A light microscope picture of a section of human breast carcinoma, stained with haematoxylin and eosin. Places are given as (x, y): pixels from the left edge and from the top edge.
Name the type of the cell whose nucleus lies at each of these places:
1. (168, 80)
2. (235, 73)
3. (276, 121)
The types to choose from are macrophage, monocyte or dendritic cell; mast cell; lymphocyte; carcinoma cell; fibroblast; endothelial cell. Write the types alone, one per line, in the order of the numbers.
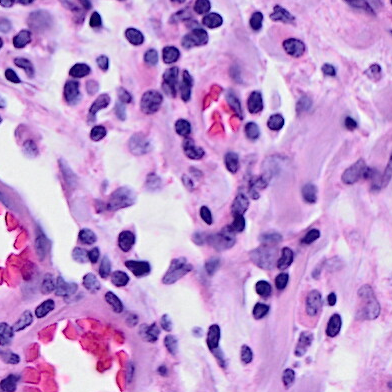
lymphocyte
endothelial cell
lymphocyte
